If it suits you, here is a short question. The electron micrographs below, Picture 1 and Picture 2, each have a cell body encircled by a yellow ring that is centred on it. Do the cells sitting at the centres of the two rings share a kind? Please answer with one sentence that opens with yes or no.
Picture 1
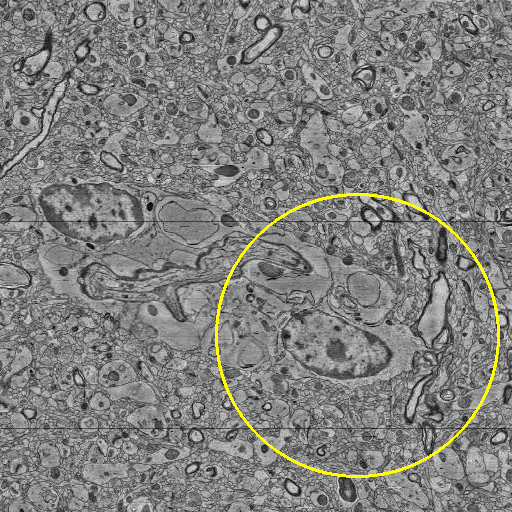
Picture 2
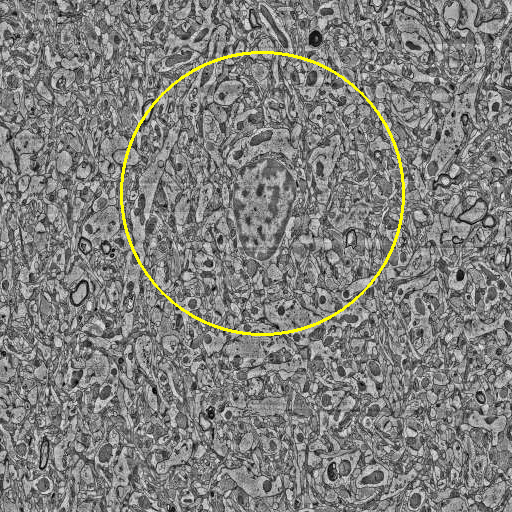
Yes, the two cells sitting at the ring centres share a single kind.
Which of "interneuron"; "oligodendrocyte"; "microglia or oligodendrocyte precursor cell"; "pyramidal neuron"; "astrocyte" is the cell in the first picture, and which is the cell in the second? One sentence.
Each cell, in the first picture and the second, is a microglial cell or oligodendrocyte precursor cell.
